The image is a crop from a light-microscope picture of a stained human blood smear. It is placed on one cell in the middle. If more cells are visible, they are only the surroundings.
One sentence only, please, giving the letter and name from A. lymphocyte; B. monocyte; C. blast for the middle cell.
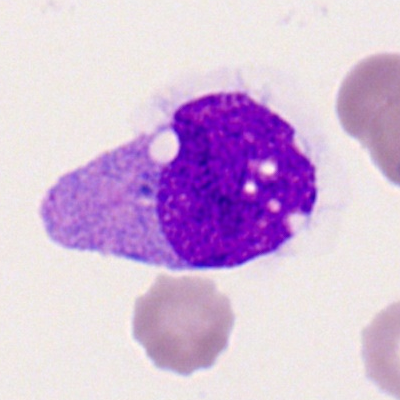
The cell occupying the centre is a monocyte; option B is thus the correct choice.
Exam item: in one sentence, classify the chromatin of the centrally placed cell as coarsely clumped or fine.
Chromatin in the nucleus here is coarsely clumped.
